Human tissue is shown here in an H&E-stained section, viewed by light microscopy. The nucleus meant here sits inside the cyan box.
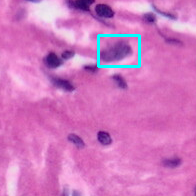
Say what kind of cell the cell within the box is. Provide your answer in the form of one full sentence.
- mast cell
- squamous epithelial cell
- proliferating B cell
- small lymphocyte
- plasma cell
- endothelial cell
Cell type answer for this item: the cell within the box is an endothelial cell.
